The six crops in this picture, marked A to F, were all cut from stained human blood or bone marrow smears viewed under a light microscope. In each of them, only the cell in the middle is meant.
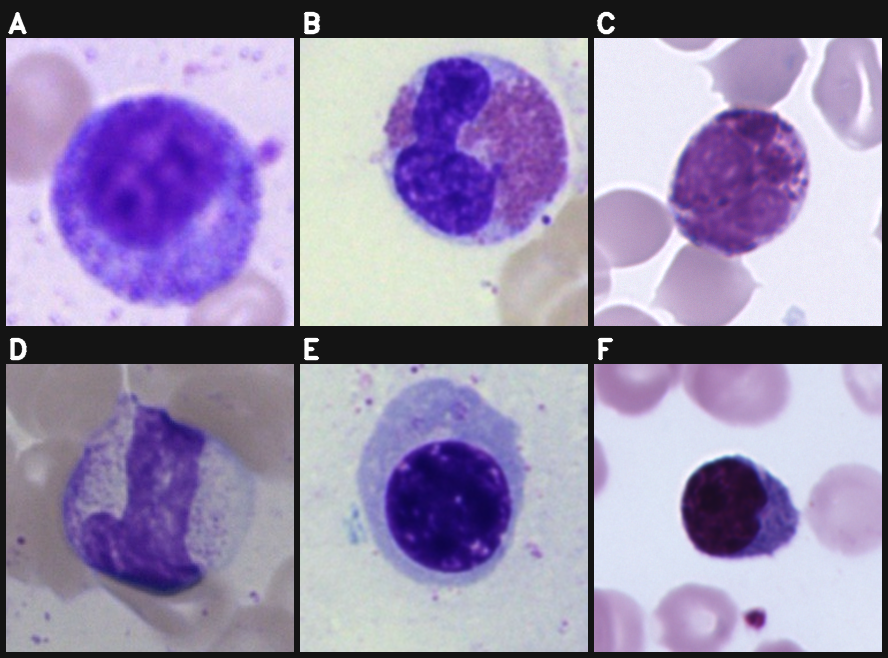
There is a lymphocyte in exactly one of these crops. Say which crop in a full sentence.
Crop F, and no other, shows a lymphocyte.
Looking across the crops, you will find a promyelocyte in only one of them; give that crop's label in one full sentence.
Among the crops provided, a promyelocyte occupies the center of crop A.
